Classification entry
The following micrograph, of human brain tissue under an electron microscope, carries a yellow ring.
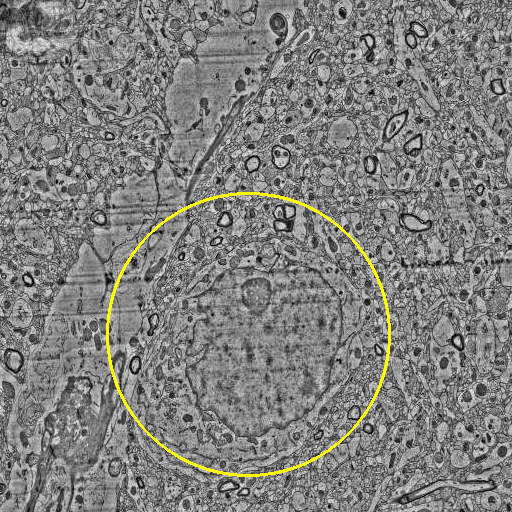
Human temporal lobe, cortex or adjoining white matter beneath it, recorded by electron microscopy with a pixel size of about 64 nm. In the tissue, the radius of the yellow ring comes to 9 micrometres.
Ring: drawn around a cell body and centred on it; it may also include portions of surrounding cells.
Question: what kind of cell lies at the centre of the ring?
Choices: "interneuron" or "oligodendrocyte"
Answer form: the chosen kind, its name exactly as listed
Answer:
interneuron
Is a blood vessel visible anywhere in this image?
Yes, one is visible.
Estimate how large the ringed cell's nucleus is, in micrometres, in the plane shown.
Roughly 12 micrometres by 10 micrometres, in this plane.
